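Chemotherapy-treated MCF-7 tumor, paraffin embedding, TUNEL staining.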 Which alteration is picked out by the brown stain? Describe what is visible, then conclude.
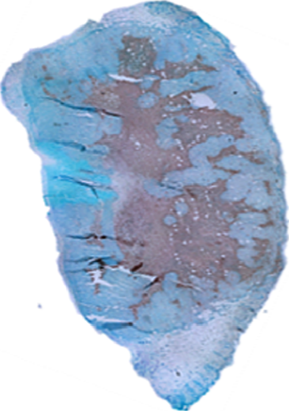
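A large irregular brown region fills much of the centre of the section. The brown region is surrounded by a rim of blue-counterstained tissue. Blue islands of tissue lie scattered within the brown region. So: area of necrosis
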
